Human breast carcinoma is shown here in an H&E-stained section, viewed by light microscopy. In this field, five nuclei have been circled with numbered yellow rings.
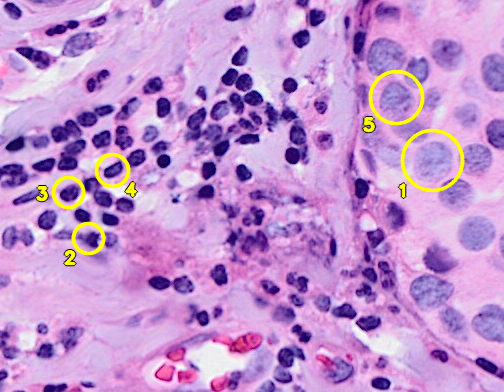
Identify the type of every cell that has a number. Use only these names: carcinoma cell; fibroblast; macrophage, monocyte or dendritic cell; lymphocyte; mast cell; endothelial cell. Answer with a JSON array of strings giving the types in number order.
["carcinoma cell", "lymphocyte", "lymphocyte", "lymphocyte", "carcinoma cell"]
